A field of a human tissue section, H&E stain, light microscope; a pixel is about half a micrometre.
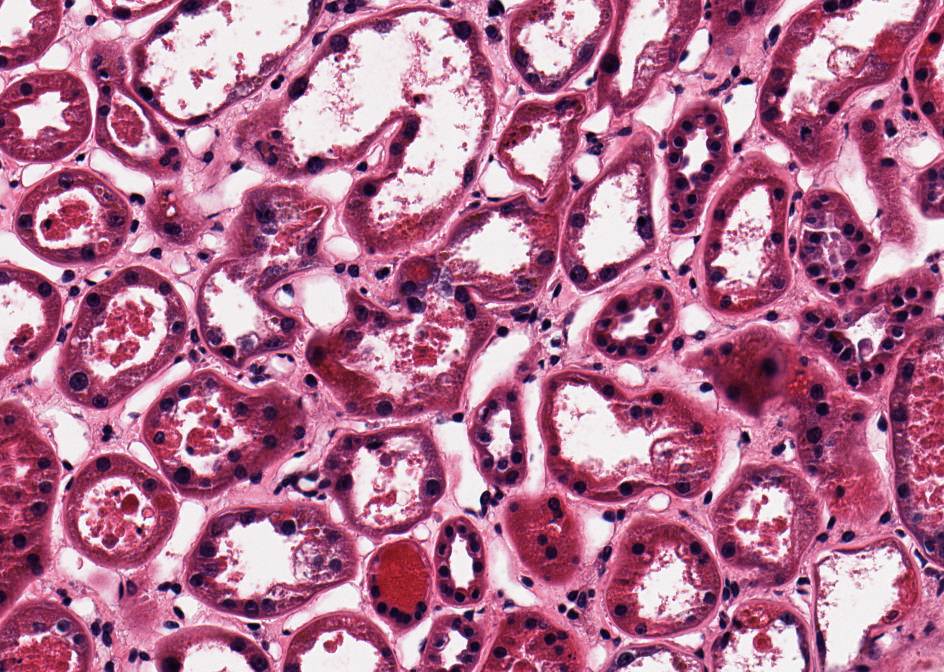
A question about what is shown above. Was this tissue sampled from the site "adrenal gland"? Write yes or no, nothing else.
no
